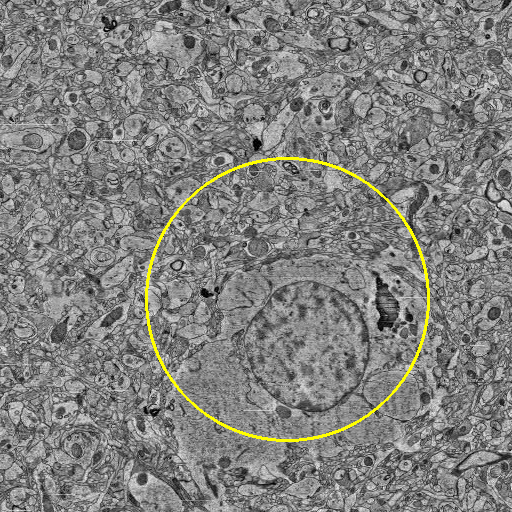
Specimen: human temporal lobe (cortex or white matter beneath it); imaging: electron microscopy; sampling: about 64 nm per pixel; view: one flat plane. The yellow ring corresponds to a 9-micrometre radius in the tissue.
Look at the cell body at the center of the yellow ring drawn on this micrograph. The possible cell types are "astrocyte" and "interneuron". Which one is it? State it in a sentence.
The cell in the middle of the ring is an astrocyte.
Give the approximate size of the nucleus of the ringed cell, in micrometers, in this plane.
The nucleus measures about 8 micrometers across in this plane.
